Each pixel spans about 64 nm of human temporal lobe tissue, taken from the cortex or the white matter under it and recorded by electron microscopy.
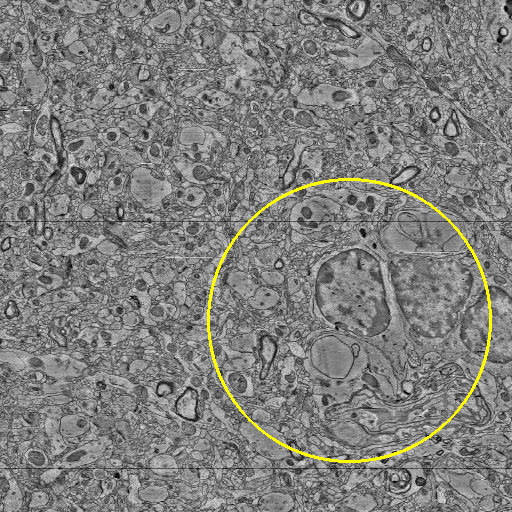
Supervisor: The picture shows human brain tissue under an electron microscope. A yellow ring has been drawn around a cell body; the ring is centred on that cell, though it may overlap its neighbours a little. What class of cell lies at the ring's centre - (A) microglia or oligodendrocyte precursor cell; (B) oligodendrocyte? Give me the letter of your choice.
A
